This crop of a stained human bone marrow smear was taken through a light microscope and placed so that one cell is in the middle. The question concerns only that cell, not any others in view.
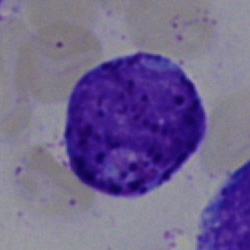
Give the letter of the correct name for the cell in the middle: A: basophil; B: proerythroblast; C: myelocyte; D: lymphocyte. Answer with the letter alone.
A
